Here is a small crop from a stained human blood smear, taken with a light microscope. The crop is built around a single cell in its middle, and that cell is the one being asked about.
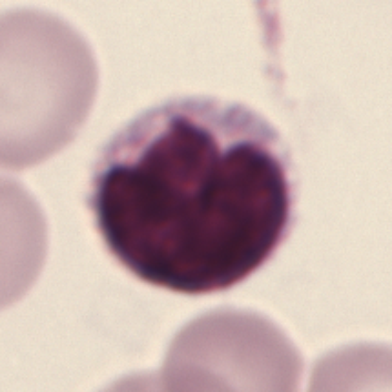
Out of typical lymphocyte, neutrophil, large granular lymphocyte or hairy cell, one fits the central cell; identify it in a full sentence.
In the central position of this crop, the cell is a typical lymphocyte.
